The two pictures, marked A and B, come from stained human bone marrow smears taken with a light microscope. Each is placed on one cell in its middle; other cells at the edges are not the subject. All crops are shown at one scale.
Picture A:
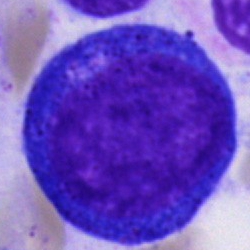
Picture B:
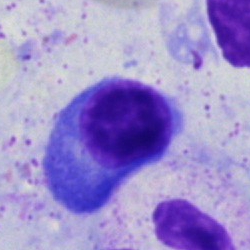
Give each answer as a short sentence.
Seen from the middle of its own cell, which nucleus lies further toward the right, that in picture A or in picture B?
The nucleus in picture B lies further toward the right of its cell.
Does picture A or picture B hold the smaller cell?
The cell in picture B is smaller; the one in picture A has about 3 times its area.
